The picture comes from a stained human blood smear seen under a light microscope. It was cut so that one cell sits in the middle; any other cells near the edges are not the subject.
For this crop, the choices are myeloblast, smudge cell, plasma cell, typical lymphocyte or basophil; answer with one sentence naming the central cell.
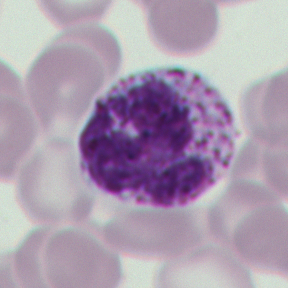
Centred in the crop is a basophil.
